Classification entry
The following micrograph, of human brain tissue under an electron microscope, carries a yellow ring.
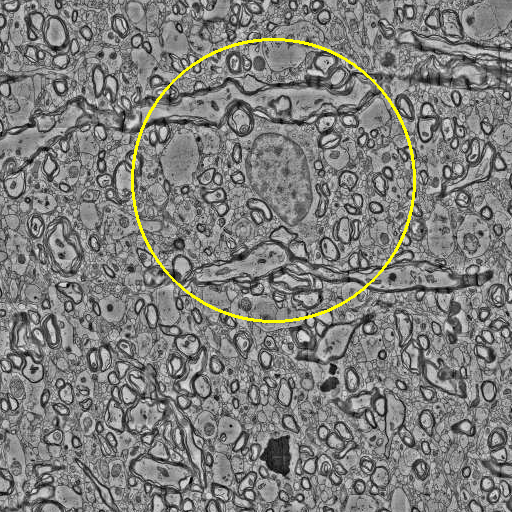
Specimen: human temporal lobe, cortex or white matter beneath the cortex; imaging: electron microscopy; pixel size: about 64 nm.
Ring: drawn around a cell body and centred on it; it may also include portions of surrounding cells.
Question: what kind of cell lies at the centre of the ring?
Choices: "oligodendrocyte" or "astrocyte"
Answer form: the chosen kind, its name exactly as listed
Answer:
oligodendrocyte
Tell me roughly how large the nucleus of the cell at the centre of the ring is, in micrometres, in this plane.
Roughly 6 by 4 micrometers, clearly longer than it is wide in this plane.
